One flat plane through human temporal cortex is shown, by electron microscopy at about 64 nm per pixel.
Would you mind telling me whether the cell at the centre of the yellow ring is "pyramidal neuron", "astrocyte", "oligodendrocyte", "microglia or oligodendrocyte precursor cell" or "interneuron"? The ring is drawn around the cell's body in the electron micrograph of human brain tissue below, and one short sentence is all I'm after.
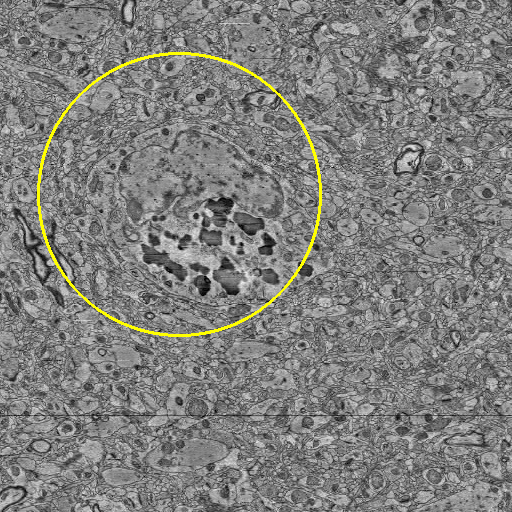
In the centre of the ring lies an interneuron.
